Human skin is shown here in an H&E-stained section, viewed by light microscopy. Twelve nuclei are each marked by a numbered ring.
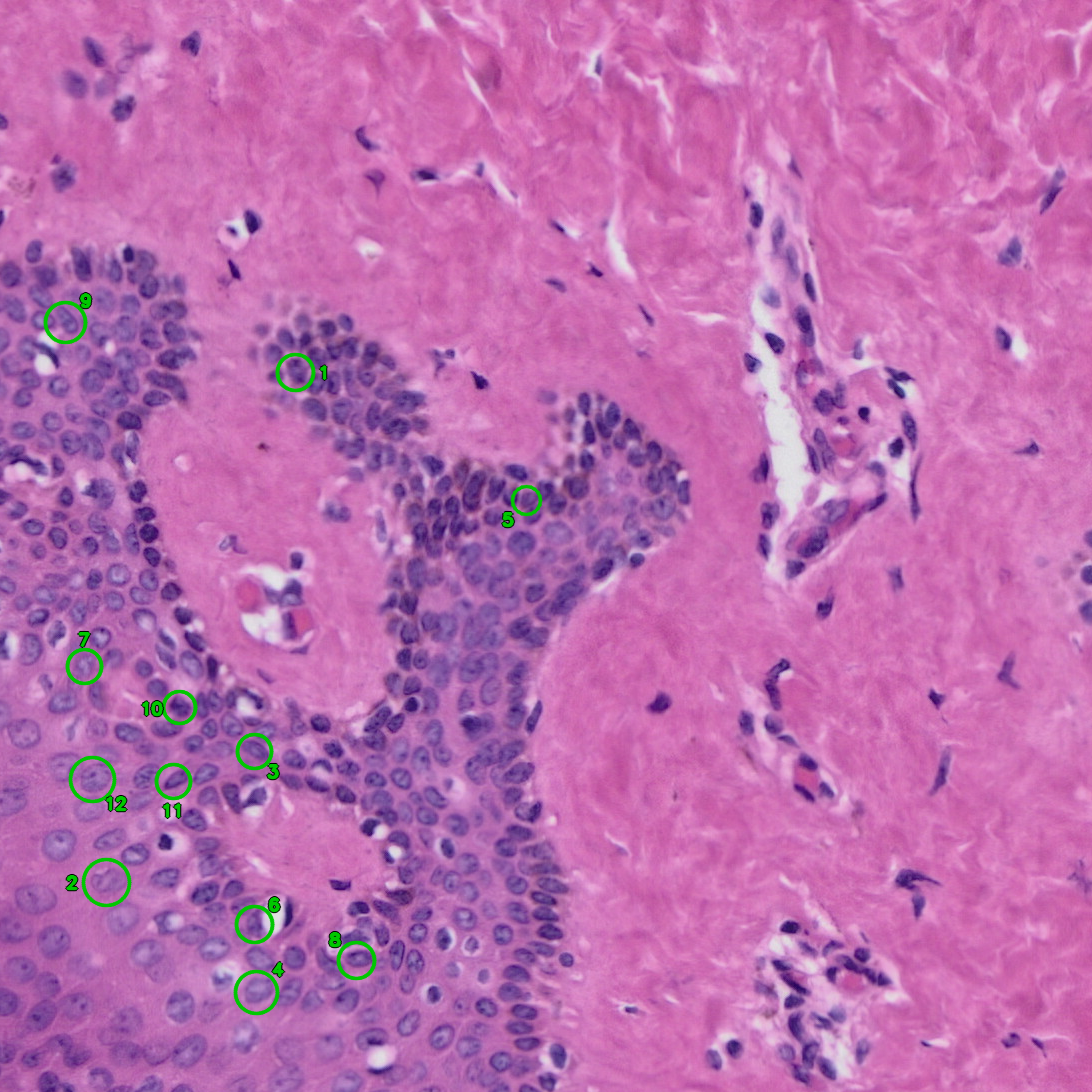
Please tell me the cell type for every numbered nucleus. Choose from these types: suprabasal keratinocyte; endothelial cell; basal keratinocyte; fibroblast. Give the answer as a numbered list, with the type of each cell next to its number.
1. basal keratinocyte
2. suprabasal keratinocyte
3. suprabasal keratinocyte
4. suprabasal keratinocyte
5. basal keratinocyte
6. basal keratinocyte
7. suprabasal keratinocyte
8. basal keratinocyte
9. basal keratinocyte
10. basal keratinocyte
11. basal keratinocyte
12. suprabasal keratinocyte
